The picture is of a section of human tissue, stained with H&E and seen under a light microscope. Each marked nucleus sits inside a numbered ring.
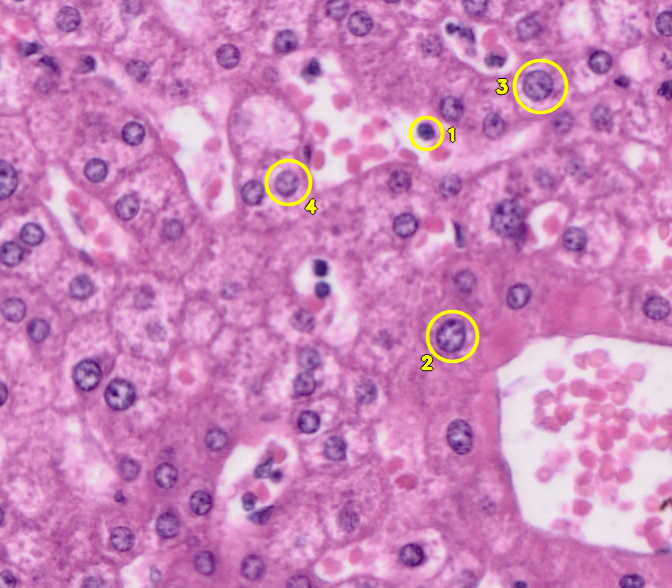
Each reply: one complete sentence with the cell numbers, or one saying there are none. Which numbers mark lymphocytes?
There is just one numbered cell that is a lymphocyte, and it is cell 1.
